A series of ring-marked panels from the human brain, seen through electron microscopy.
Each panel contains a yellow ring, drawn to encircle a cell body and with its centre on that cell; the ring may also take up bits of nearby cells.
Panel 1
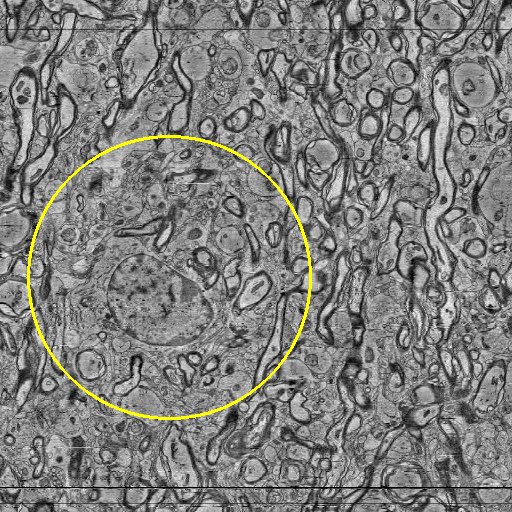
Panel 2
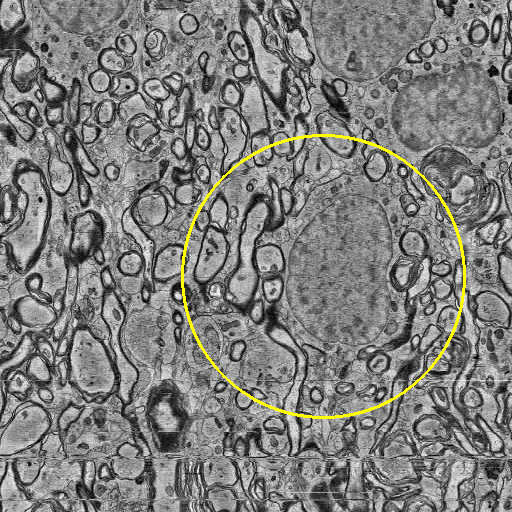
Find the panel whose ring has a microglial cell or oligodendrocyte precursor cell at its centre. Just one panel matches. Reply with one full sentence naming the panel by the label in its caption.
The sought cell lies at the centre of the ring shown in Panel 1.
